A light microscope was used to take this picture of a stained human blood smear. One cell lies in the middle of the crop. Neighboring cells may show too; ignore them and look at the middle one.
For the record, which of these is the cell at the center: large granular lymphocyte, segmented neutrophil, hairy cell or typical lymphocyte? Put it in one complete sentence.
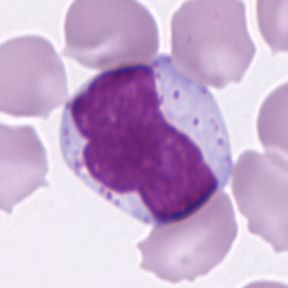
Looking at the middle of the crop, the cell there is a large granular lymphocyte.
